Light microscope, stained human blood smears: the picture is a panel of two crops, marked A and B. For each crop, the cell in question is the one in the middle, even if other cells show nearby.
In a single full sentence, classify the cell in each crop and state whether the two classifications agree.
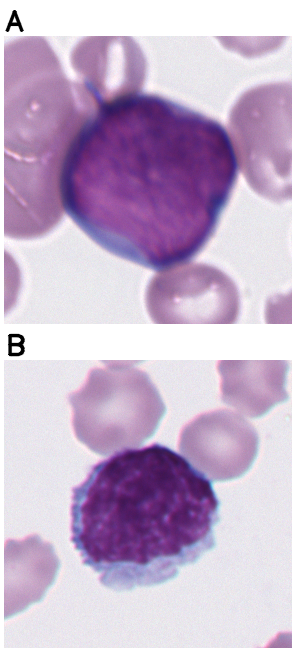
No, the cells are a myeloblast in crop A and a typical lymphocyte in crop B.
